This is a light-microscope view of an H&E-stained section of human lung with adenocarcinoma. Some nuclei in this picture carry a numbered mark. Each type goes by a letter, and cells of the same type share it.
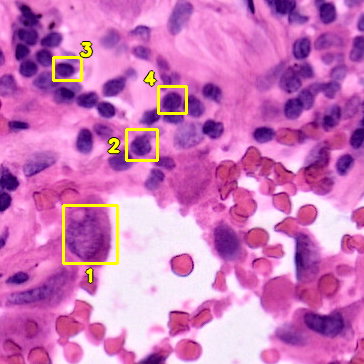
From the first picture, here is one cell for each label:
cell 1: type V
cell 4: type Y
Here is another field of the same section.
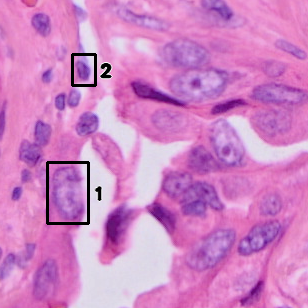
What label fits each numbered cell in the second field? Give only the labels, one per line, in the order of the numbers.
type V
type Y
